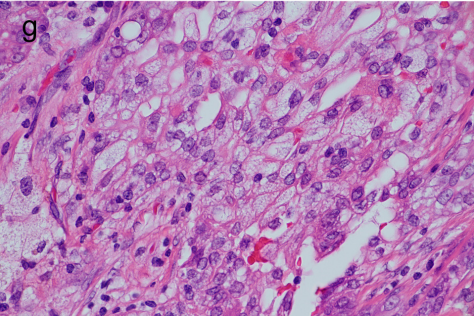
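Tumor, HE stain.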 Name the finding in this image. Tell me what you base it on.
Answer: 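Many cells have pale, finely vacuolated cytoplasm. The answer: foamy cytoplasm.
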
